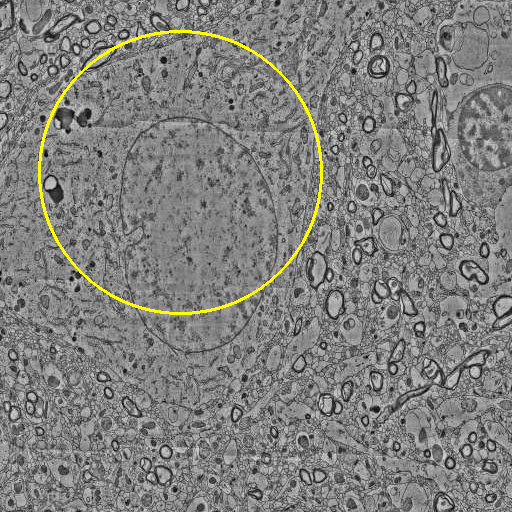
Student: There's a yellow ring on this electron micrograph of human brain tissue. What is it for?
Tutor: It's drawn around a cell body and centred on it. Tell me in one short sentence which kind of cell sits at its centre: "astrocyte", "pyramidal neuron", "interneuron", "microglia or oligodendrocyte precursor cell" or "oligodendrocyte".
The cell at the centre of the ring is a pyramidal neuron.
